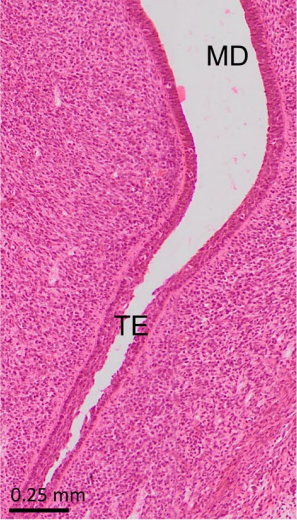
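In this pink-stained lengthwise section, a single canal runs from top to bottom through a dense, cell-rich connective tissue. In the upper part, the canal is open and fairly wide. Lower down, it bends and narrows to a thin slit. A thin, darker pink epithelium, only a few cells thick, lines the canal along its whole length.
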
